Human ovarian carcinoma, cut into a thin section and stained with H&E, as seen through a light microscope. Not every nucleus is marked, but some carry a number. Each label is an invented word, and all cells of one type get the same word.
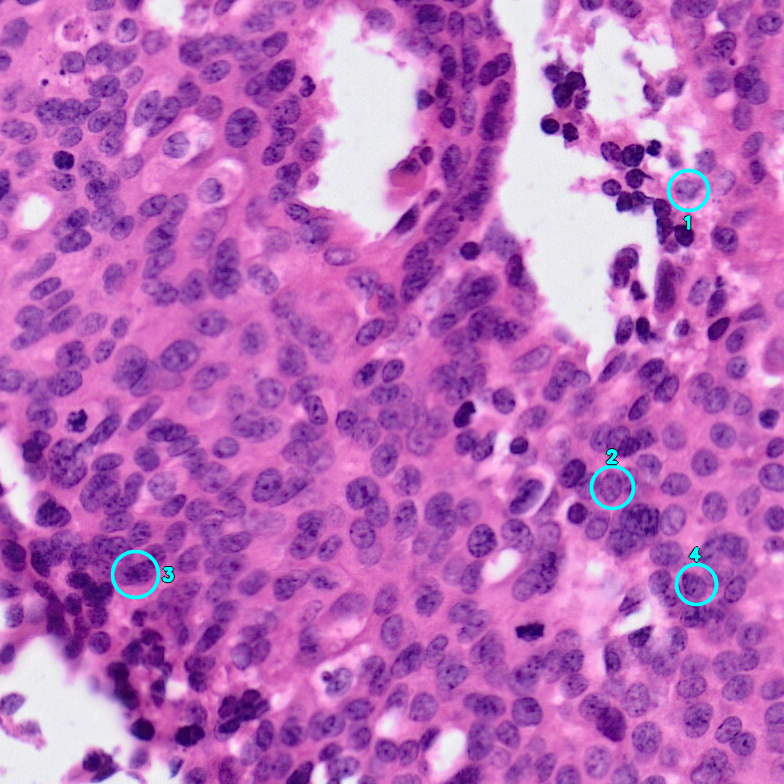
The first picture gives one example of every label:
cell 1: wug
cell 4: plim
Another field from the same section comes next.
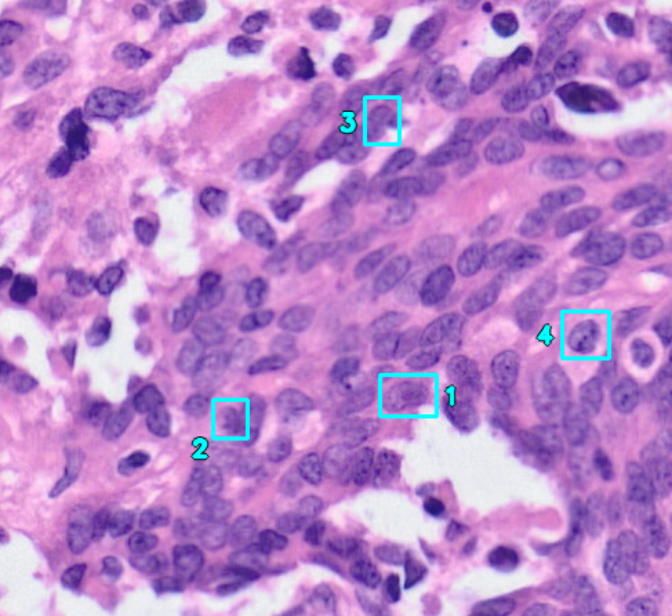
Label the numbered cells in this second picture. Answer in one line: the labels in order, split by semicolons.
plim; plim; plim; wug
